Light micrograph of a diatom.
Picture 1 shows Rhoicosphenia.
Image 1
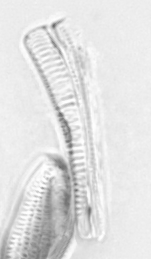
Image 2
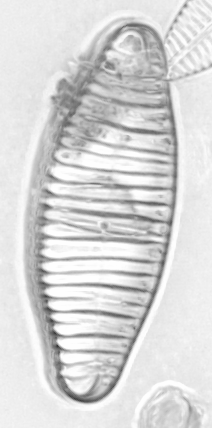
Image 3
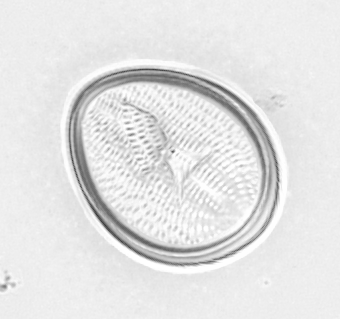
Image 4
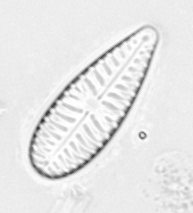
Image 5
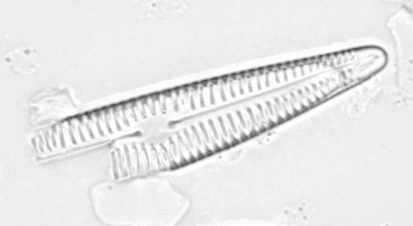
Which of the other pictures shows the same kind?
Picture 5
